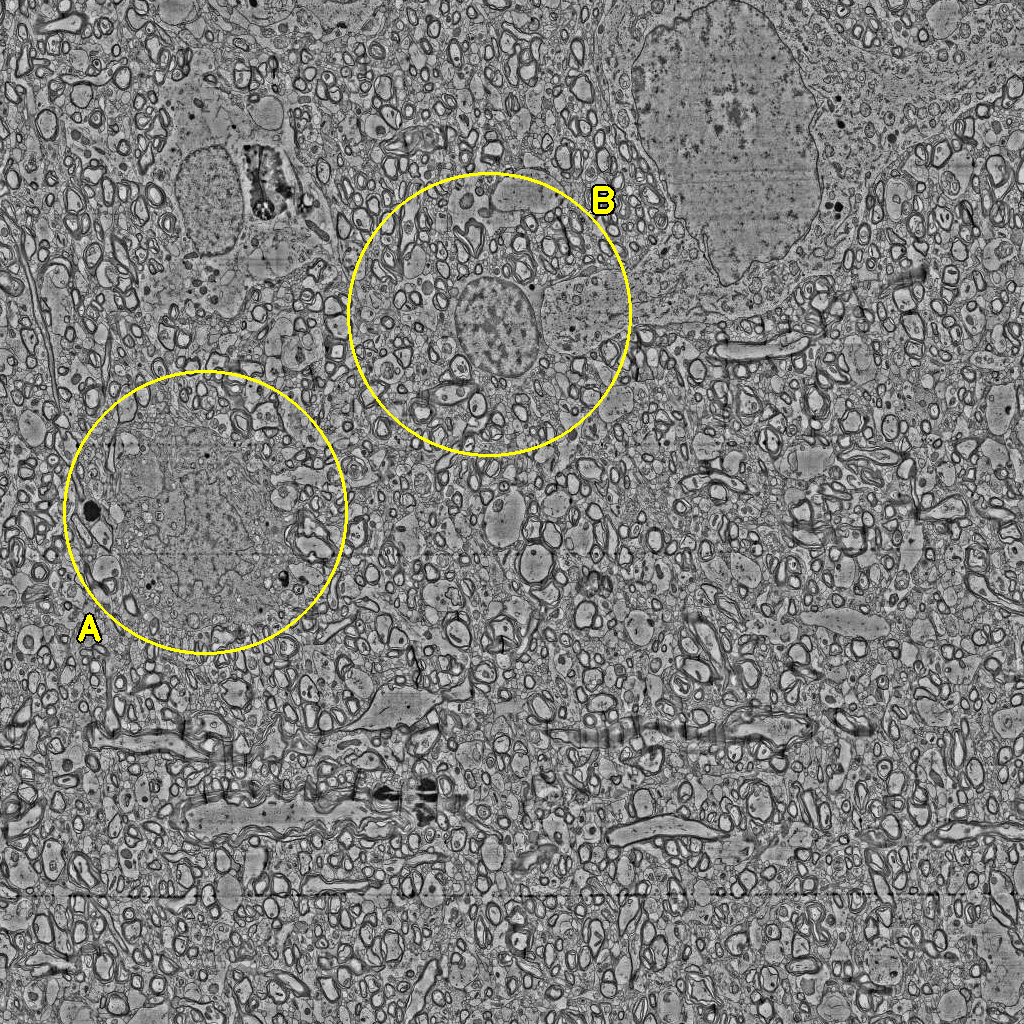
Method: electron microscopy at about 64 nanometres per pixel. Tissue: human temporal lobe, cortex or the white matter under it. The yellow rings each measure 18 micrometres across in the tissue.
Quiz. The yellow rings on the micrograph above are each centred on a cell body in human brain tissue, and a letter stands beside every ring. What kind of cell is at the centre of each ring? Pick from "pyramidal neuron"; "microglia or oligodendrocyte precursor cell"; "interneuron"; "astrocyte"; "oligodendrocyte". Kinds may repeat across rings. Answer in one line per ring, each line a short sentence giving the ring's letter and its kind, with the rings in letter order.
The ring labelled A has a pyramidal neuron at its centre.
The ring labelled B has an oligodendrocyte at its centre.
